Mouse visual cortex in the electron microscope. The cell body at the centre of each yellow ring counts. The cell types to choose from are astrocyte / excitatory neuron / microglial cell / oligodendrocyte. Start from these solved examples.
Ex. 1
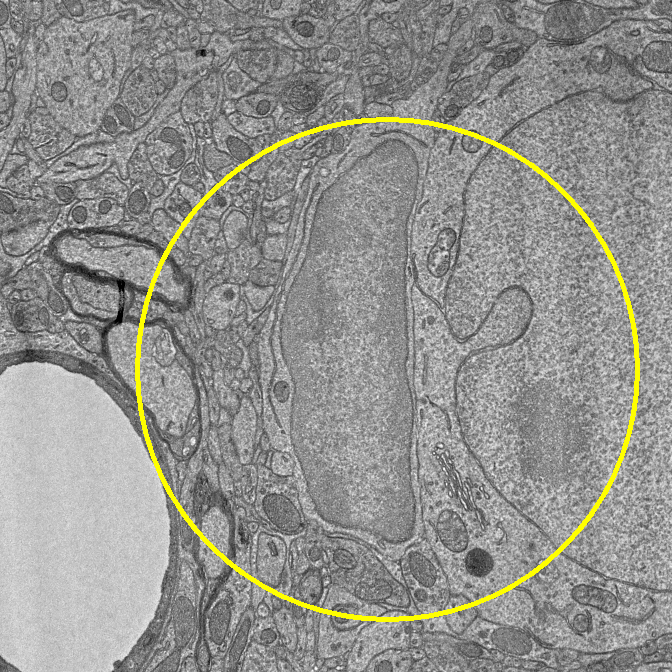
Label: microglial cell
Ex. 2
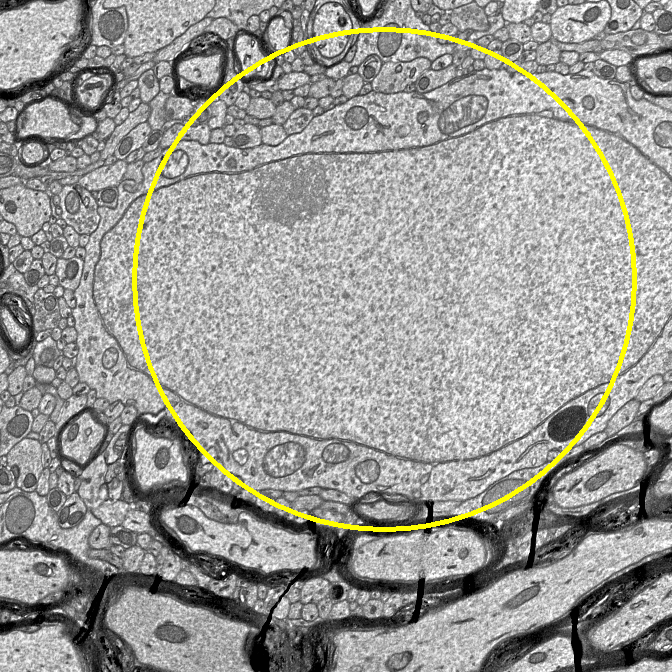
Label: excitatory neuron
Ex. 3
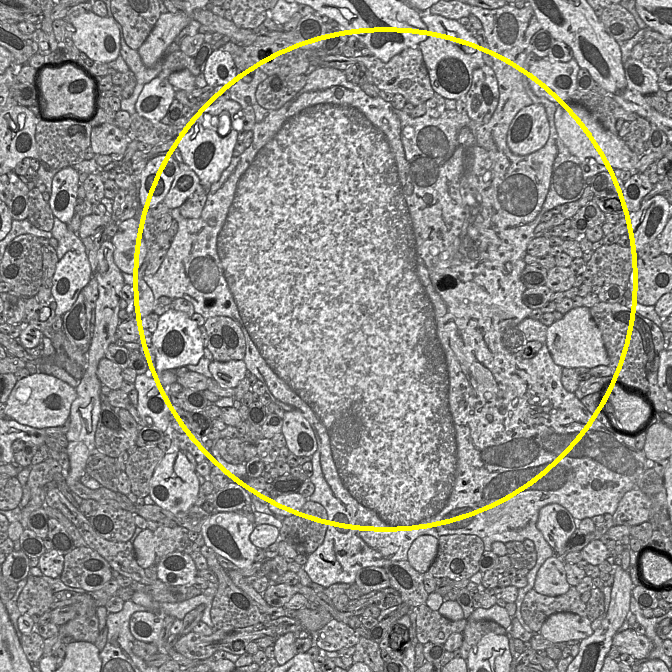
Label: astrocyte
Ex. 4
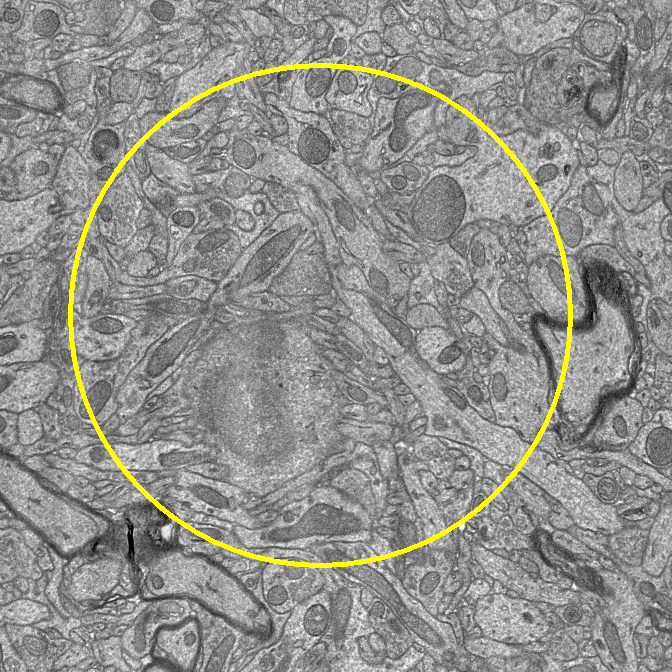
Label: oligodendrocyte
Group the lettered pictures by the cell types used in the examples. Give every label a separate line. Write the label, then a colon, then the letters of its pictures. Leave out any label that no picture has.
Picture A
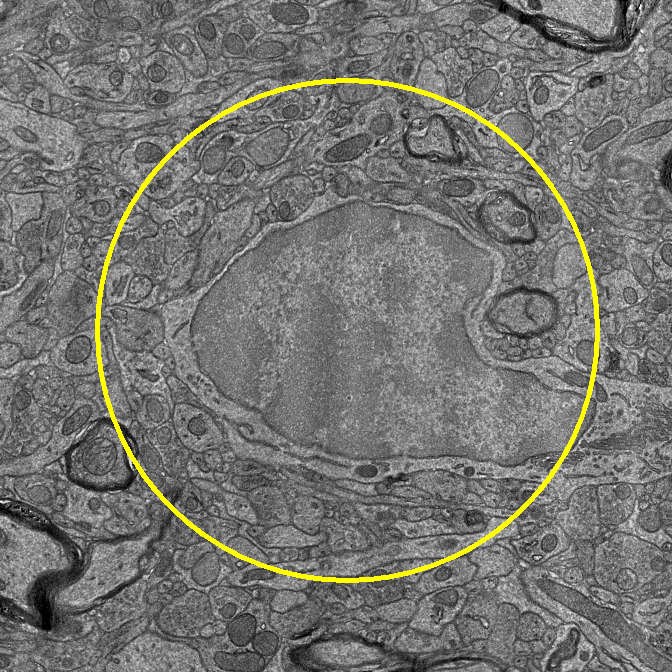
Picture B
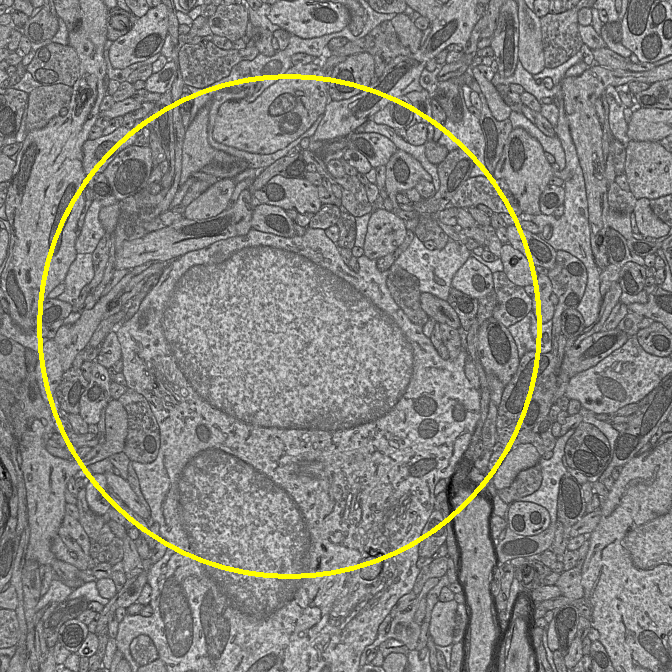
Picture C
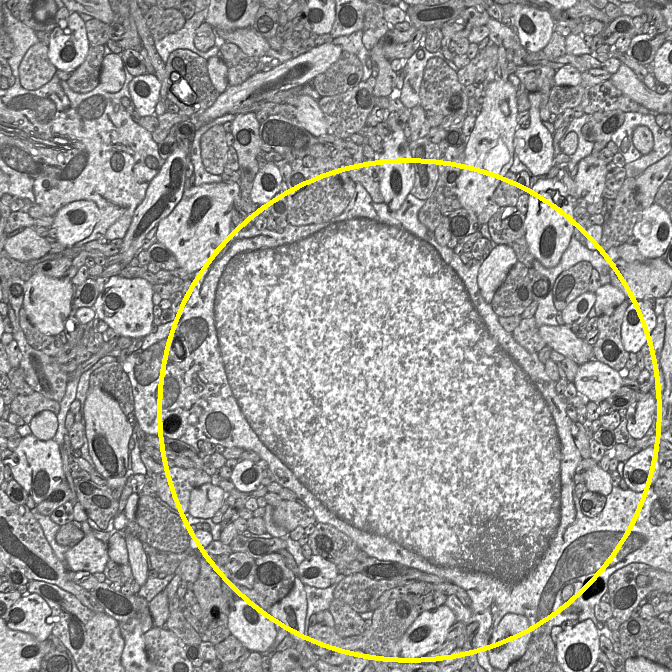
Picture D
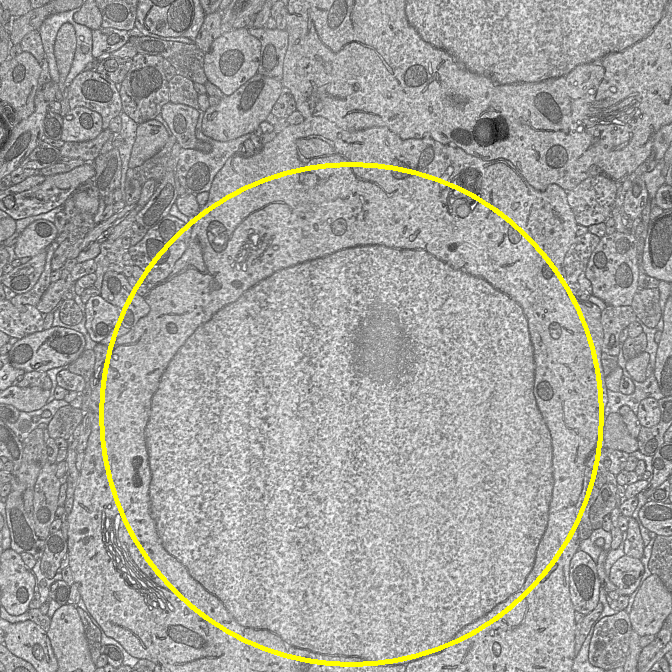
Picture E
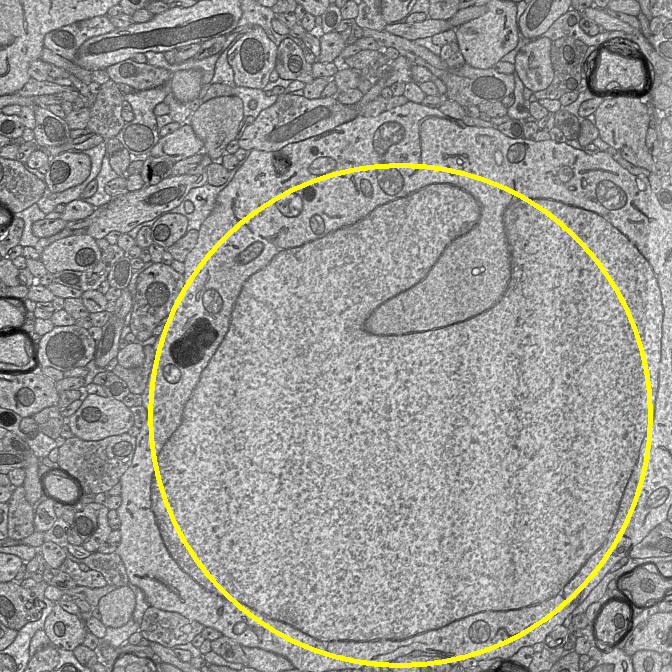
astrocyte: B, C
excitatory neuron: D, E
microglial cell: A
